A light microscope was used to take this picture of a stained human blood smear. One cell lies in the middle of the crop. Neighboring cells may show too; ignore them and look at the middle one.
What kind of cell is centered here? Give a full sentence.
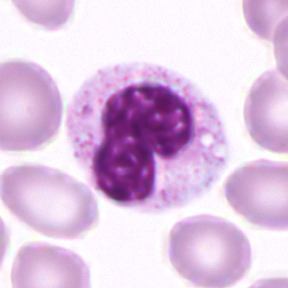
In short, the cell at the center is a band neutrophil.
